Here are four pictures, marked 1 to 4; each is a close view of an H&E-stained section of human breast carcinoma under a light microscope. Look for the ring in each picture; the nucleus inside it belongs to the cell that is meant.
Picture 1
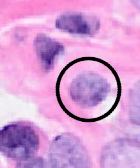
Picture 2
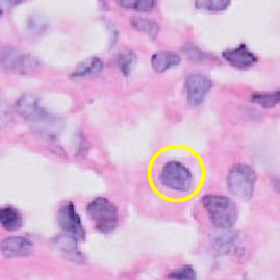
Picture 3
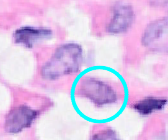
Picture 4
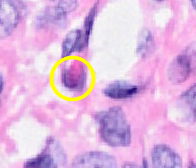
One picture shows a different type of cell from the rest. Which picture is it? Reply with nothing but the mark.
4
